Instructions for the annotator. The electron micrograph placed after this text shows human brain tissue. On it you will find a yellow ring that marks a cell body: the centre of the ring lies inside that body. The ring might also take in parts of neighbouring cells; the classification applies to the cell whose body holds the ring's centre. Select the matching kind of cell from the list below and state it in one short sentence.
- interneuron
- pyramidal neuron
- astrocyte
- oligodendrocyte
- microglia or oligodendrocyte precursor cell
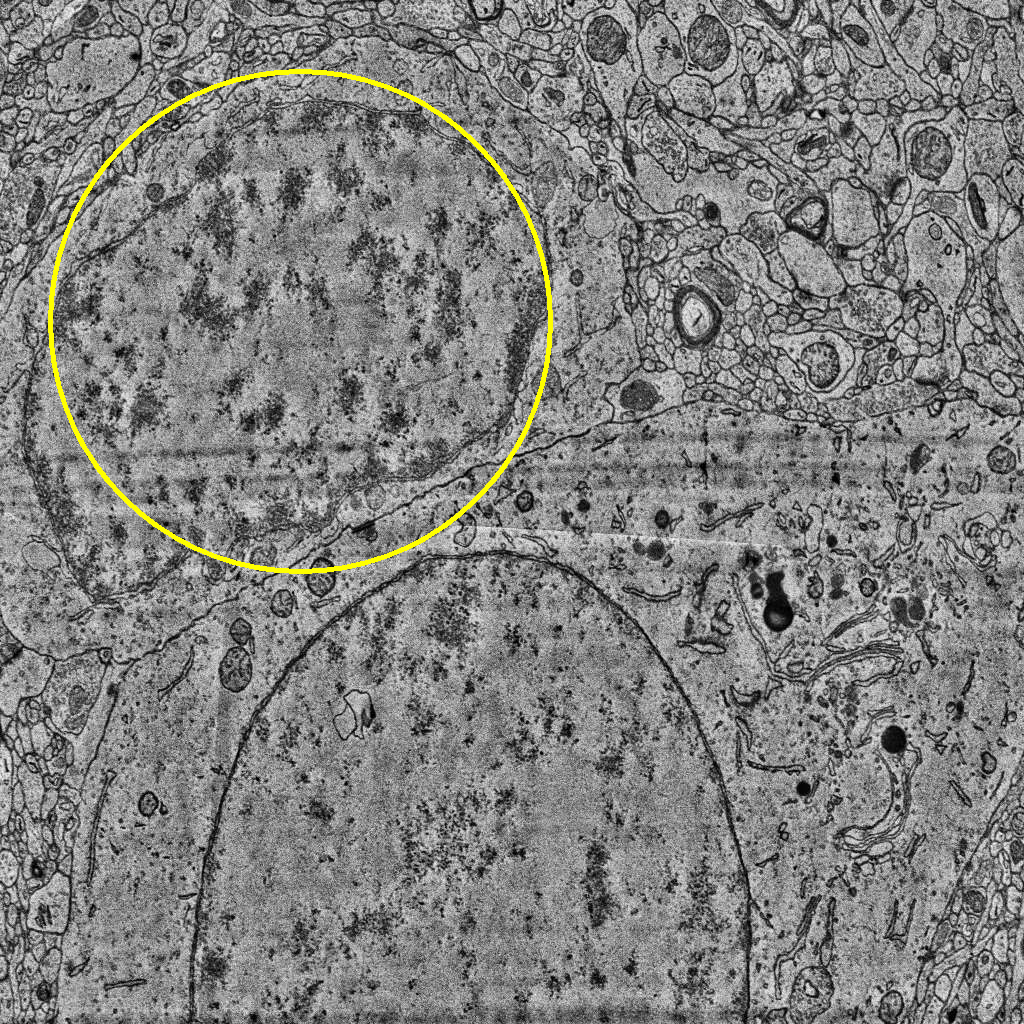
The centre of the ring lies in the cell body of an interneuron.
